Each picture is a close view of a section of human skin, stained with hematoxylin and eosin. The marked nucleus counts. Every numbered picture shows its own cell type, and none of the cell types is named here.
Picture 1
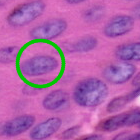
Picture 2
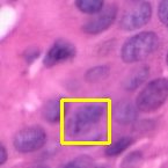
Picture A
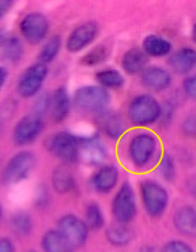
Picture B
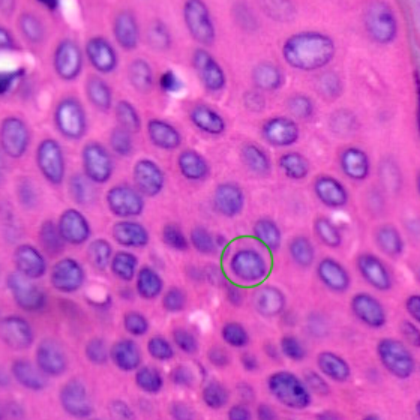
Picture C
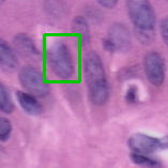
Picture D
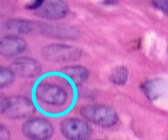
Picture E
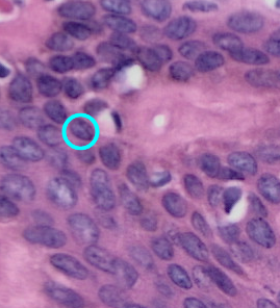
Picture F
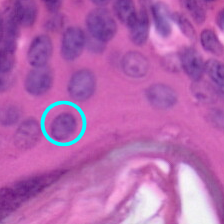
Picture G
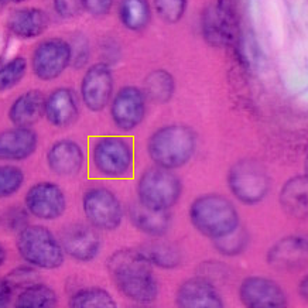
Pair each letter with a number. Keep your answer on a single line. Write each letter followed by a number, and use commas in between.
A 2, B 1, C 2, D 1, E 2, F 1, G 1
